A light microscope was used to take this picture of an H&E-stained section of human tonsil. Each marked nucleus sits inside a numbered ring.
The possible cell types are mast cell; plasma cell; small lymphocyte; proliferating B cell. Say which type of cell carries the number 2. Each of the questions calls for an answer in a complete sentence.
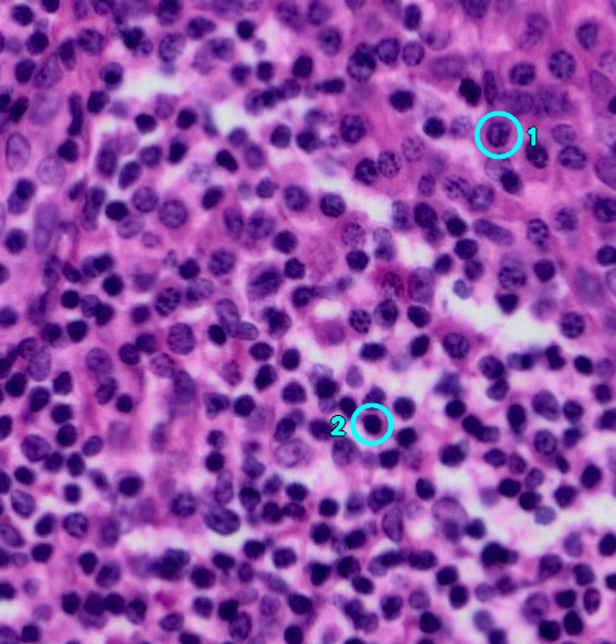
The cell pointed out as number 2 is a small lymphocyte.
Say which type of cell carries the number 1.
The cell assigned the number 1 is a plasma cell.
